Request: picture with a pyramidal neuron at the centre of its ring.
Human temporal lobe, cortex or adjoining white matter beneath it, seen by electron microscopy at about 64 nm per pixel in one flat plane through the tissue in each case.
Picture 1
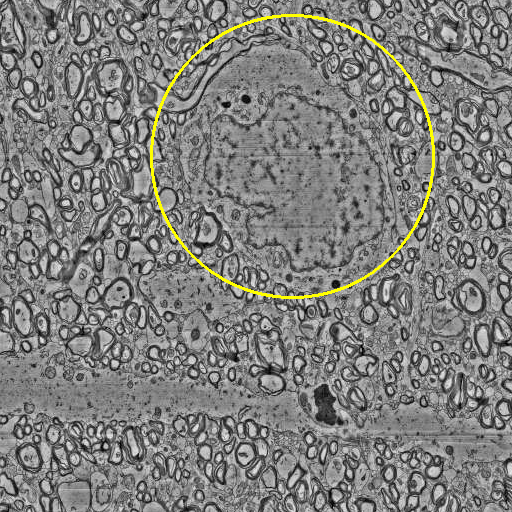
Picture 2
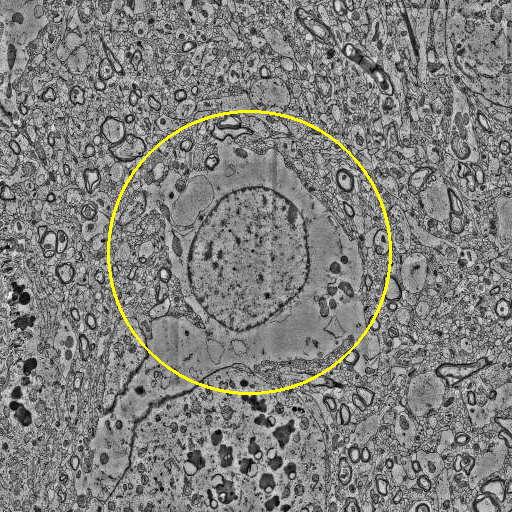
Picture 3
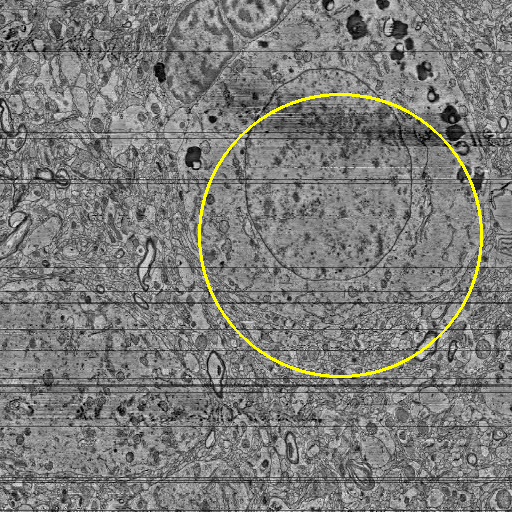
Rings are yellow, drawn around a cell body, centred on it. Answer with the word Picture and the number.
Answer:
Picture 3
